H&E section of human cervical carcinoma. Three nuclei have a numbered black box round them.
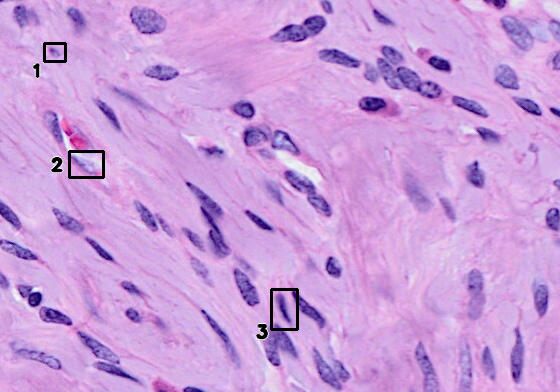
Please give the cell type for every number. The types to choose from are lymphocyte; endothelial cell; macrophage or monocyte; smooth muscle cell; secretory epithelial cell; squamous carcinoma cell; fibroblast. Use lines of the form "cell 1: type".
cell 1: fibroblast
cell 2: endothelial cell
cell 3: fibroblast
